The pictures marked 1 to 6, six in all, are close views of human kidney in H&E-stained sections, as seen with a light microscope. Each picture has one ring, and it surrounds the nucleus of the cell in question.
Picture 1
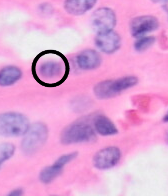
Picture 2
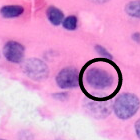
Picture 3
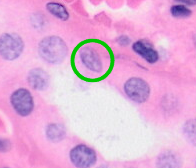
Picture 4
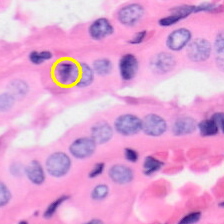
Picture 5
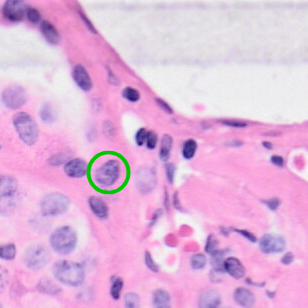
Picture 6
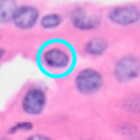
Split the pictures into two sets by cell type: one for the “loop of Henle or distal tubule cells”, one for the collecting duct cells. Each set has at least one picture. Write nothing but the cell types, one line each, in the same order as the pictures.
loop of Henle or distal tubule cell
collecting duct cell
collecting duct cell
collecting duct cell
collecting duct cell
loop of Henle or distal tubule cell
